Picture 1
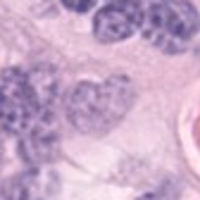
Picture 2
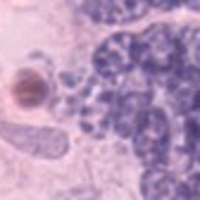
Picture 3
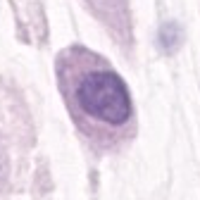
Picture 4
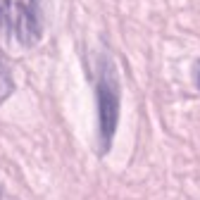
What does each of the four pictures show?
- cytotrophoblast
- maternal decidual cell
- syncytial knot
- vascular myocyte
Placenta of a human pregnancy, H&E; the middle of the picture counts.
1. syncytial knot
2. syncytial knot
3. maternal decidual cell
4. vascular myocyte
